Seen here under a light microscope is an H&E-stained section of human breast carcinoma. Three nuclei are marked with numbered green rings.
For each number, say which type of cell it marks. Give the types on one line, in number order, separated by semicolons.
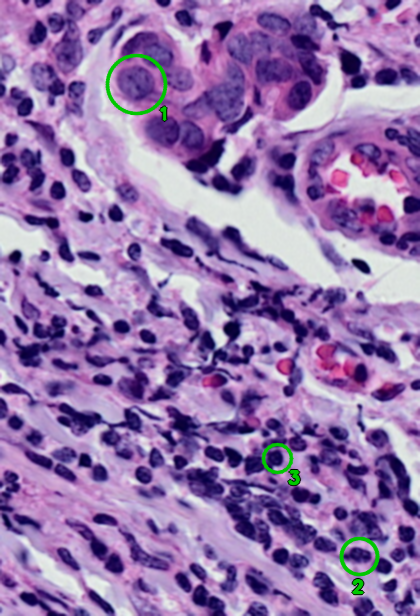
carcinoma cell; lymphocyte; lymphocyte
